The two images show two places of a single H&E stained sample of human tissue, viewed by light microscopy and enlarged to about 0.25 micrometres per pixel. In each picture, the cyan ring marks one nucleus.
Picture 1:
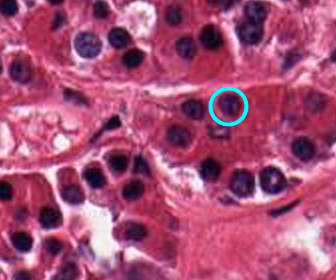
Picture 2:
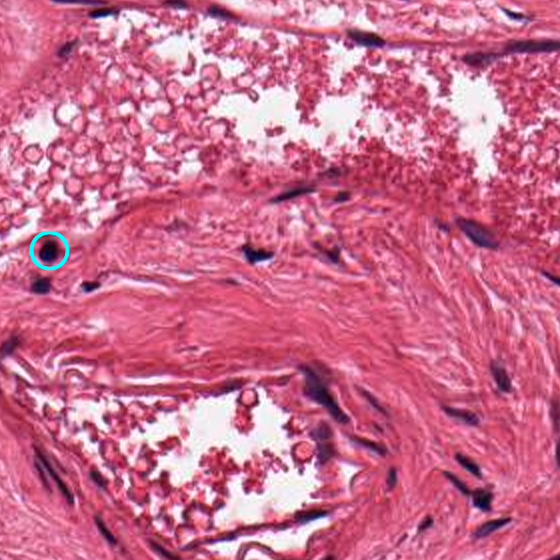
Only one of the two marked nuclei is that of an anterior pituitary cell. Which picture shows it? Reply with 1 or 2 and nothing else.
1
